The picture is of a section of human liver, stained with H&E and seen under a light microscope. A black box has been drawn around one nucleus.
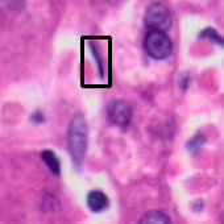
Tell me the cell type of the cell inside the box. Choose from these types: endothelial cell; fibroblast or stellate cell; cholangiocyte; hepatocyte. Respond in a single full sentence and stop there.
In this tissue sample, the cell inside the box is an endothelial cell.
